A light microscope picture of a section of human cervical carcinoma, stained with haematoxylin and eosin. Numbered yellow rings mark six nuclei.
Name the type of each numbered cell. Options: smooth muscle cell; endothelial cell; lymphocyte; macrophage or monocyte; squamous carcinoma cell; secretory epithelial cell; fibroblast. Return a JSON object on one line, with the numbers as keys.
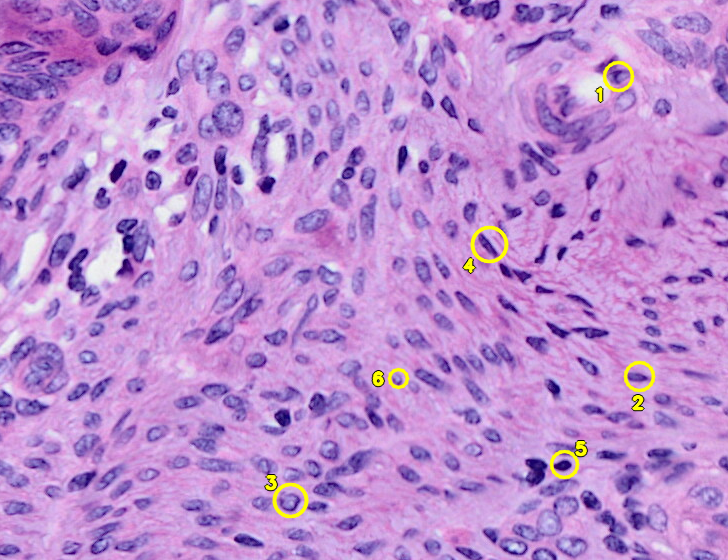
{"1": "endothelial cell", "2": "smooth muscle cell", "3": "smooth muscle cell", "4": "smooth muscle cell", "5": "lymphocyte", "6": "smooth muscle cell"}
